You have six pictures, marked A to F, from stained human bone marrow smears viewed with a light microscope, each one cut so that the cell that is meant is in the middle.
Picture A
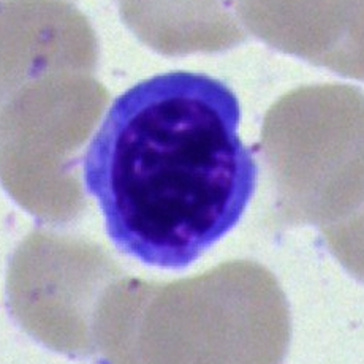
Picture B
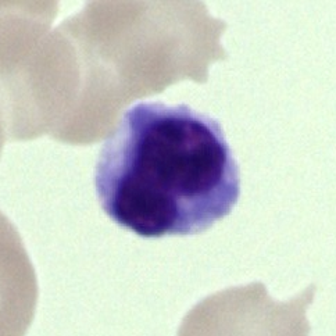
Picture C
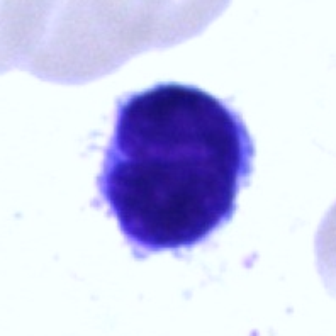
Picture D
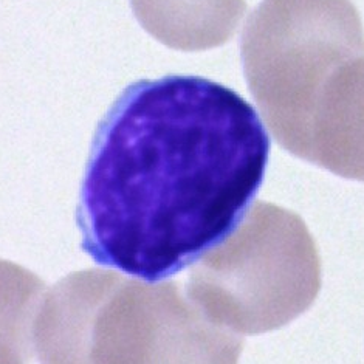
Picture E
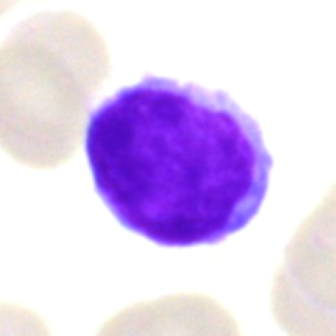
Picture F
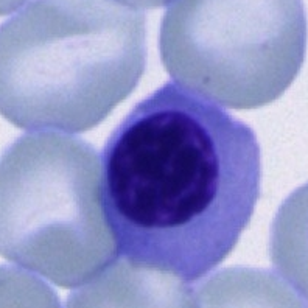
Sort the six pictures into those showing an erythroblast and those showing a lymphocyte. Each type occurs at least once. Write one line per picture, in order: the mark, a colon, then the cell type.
A: erythroblast
B: erythroblast
C: lymphocyte
D: lymphocyte
E: lymphocyte
F: erythroblast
